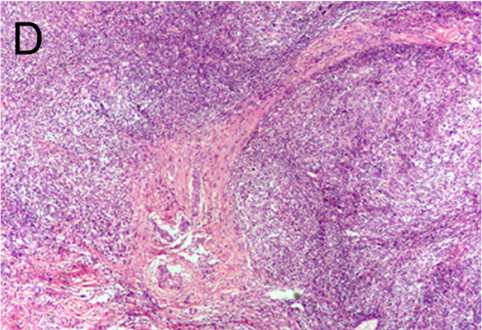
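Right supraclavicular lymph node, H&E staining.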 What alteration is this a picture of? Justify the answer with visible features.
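Pink fibrous bands cross the tissue. Cellular purple areas form rounded nodules of different sizes between the bands. That points to this answer: separated into nodules of varying size by refractive collagen fibers.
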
